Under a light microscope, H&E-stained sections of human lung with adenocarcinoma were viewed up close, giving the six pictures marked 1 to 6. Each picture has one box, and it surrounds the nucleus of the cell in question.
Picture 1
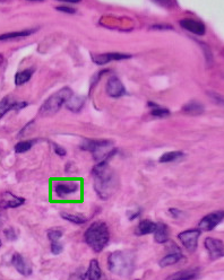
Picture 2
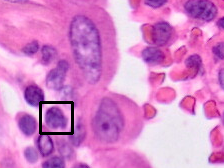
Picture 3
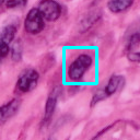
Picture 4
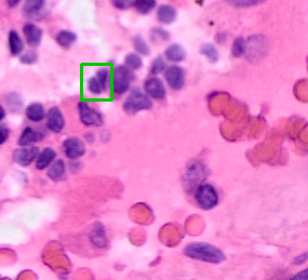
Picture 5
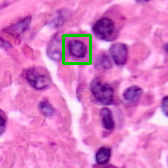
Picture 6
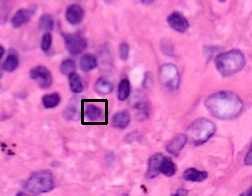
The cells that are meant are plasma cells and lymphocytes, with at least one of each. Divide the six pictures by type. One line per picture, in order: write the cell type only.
plasma cell
lymphocyte
plasma cell
lymphocyte
plasma cell
lymphocyte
